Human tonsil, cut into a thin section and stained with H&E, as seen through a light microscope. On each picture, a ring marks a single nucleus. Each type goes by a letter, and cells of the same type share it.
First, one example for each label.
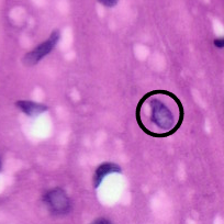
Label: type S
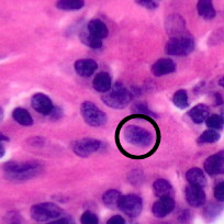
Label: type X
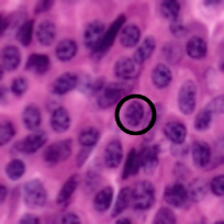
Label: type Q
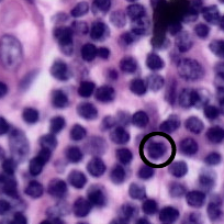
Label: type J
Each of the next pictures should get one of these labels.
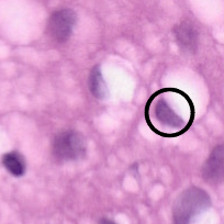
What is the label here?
type S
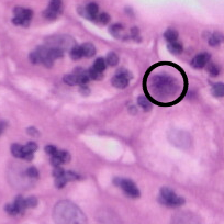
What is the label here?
type S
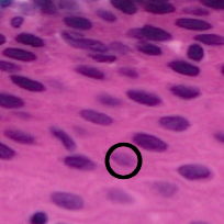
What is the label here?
type S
